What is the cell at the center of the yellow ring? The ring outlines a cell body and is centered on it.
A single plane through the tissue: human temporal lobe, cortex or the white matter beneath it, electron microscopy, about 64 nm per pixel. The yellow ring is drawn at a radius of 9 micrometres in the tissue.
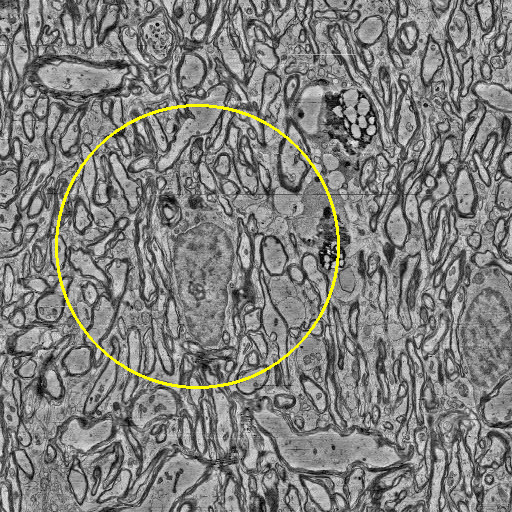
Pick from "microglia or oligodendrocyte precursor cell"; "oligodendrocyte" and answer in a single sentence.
The yellow ring is centered on an oligodendrocyte.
